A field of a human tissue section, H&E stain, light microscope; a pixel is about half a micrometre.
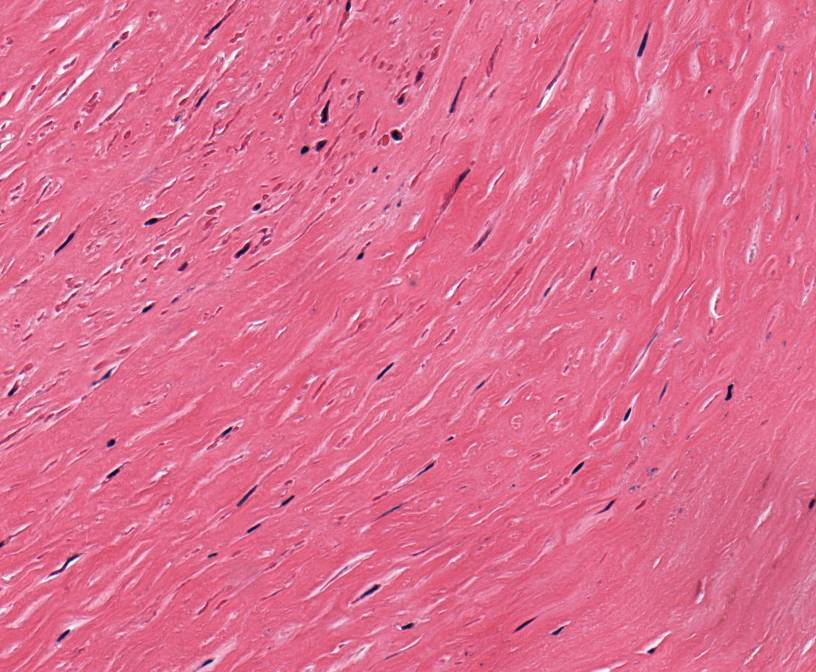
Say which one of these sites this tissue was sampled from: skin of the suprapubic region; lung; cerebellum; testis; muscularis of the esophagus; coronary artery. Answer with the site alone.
coronary artery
